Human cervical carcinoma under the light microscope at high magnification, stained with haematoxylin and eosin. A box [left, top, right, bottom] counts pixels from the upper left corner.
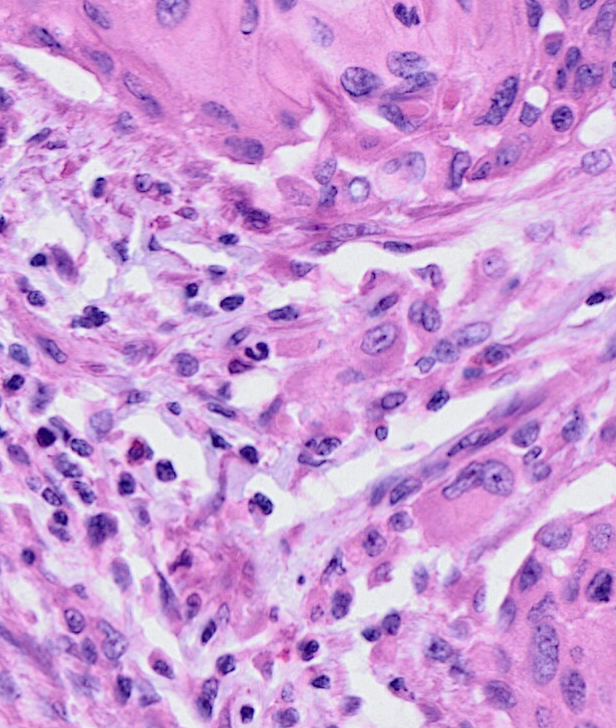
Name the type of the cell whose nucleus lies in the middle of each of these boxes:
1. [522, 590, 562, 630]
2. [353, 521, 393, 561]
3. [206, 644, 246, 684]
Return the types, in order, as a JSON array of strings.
["squamous carcinoma cell", "macrophage or monocyte", "lymphocyte"]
